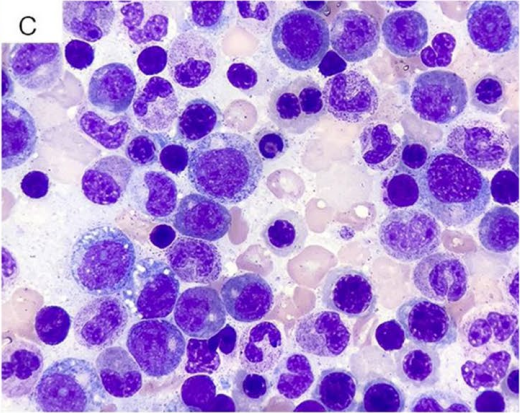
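A crowded field of bone marrow precursor cells on a pale background with scattered pink red cells. Large round cells with fine open purple chromatin and blue cytoplasm, some with faint granules, lie beside smaller cells with dense, very dark round nuclei and scant cytoplasm, typical of maturing erythroblasts. Cells with indented or segmented nuclei and lilac granular cytoplasm represent maturing granulocytes. Several of the larger precursors show small clear holes in their cytoplasm. The picture is of granulocytic and erythroid precursors at different stages, with cytoplasmic vacuoles in some of them.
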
